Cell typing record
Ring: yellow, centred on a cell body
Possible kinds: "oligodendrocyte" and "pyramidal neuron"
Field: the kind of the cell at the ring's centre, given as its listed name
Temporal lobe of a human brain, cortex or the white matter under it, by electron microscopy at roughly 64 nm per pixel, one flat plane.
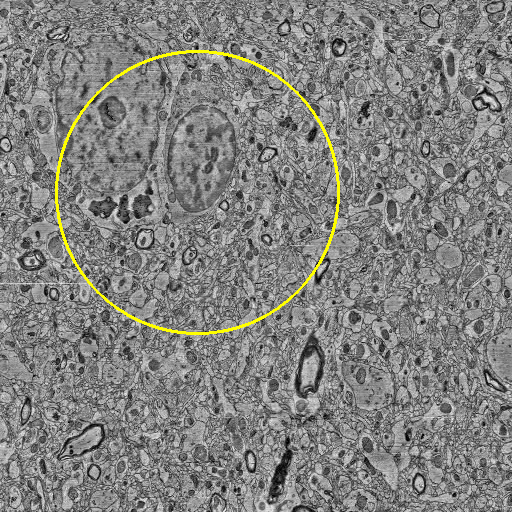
oligodendrocyte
